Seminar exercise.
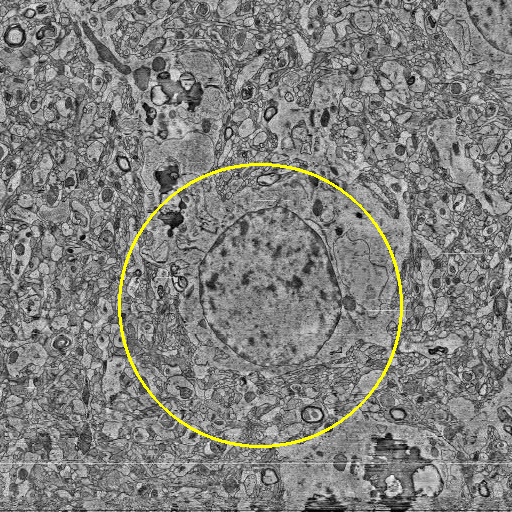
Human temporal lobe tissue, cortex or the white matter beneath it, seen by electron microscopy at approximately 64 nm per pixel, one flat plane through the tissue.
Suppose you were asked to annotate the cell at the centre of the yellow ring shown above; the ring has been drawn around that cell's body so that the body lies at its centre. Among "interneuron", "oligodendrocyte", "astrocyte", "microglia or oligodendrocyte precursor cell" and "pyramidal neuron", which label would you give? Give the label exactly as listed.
astrocyte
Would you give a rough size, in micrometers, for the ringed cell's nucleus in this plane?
About 11 by 9 micrometers for the nucleus, in this plane.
